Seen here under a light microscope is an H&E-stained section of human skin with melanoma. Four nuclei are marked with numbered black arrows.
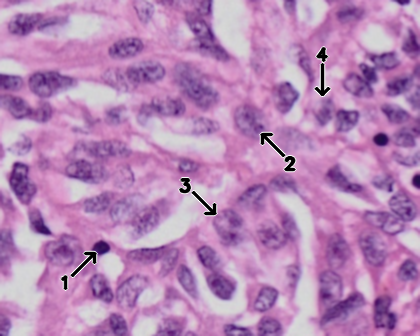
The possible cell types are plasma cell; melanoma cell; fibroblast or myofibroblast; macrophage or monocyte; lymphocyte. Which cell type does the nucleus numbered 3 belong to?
melanoma cell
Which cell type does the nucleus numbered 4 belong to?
melanoma cell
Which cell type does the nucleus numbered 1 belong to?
lymphocyte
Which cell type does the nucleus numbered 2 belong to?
melanoma cell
